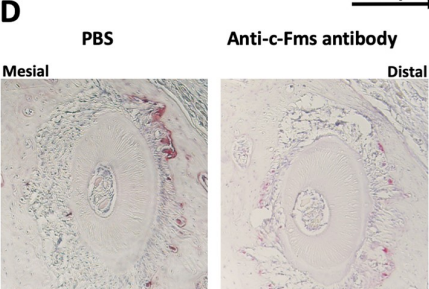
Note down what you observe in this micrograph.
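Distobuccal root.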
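Two cross-sections of a tooth root show an oval of dentin with fine radial tubules around a small central pulp, ringed by a fibrous periodontal ligament and surrounding alveolar bone. Red-magenta stained cells sit along the bone surface beside the ligament. The left section has more of these stained cells along its bone margin than the right one.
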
